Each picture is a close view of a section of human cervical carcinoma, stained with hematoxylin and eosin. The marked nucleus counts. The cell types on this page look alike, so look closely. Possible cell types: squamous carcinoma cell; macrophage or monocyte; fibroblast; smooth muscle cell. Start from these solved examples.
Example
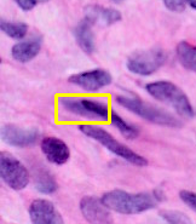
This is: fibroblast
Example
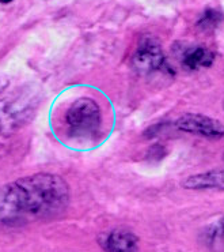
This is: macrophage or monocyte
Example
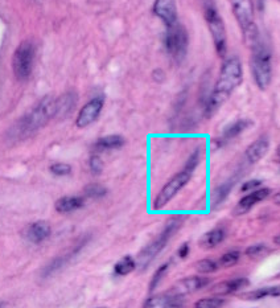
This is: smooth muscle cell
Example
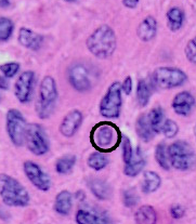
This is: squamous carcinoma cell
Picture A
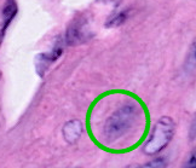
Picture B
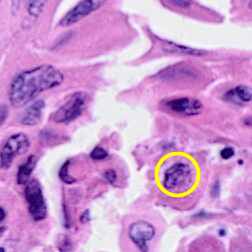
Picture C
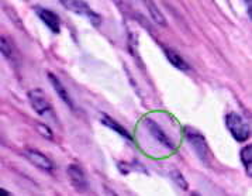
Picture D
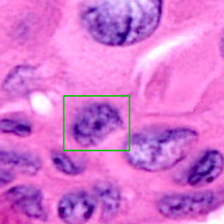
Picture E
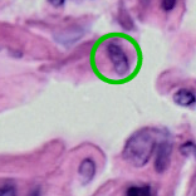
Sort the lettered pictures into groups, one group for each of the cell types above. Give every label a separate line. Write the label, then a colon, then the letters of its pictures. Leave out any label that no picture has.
squamous carcinoma cell: D
macrophage or monocyte: B, E
fibroblast: C
smooth muscle cell: A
